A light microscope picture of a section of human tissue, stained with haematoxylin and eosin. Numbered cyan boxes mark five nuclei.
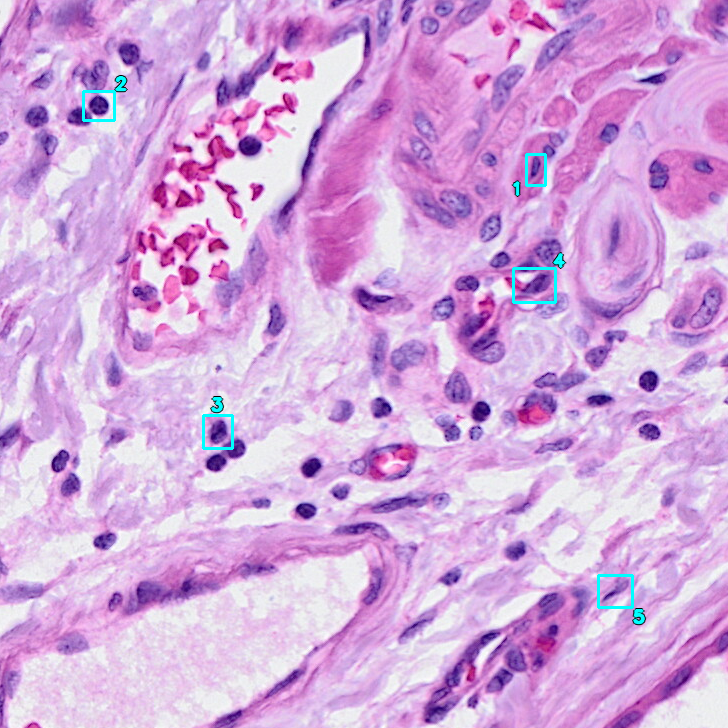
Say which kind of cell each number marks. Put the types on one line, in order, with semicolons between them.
smooth muscle cell; lymphocyte; lymphocyte; endothelial cell; fibroblast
